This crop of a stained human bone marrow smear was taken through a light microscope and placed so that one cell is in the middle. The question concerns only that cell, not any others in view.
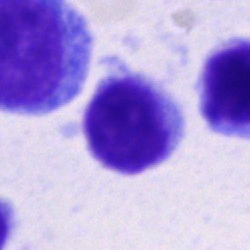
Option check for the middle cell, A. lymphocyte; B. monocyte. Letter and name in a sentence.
The correct choice is option A, which identifies the middle cell as a lymphocyte.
